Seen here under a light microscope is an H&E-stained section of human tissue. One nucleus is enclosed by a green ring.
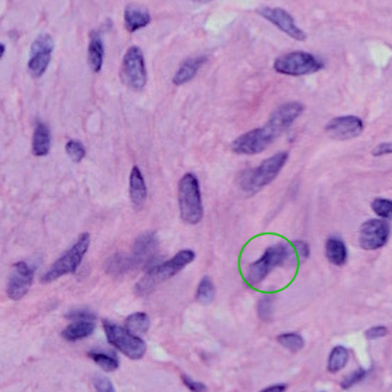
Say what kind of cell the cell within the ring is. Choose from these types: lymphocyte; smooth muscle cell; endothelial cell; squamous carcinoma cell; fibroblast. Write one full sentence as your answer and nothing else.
Within the stained tissue, the cell within the ring is a fibroblast.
